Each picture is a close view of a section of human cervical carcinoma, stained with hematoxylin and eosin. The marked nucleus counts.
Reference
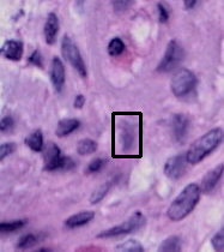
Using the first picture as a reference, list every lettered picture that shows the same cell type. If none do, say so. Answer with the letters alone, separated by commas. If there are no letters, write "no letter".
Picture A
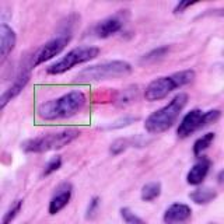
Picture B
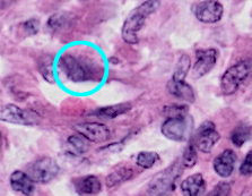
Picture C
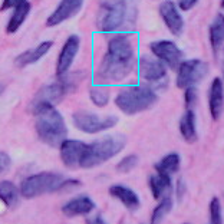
no letter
